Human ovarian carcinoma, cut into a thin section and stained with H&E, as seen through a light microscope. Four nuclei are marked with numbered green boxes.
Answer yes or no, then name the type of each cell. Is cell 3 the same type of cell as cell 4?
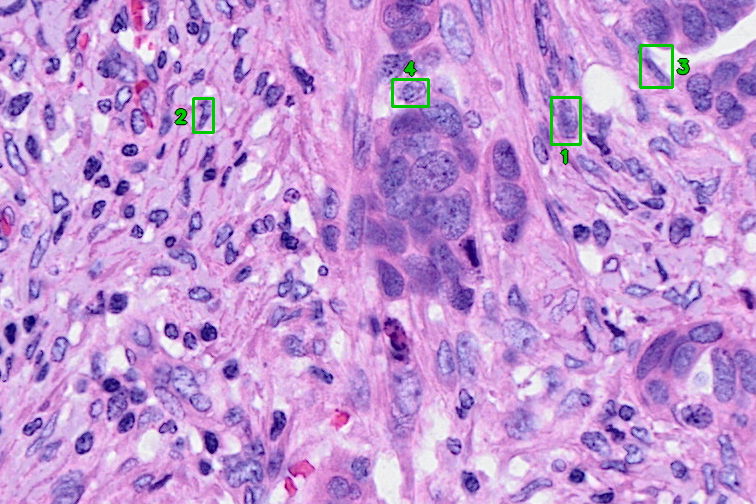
No, cell 3 here is a fibroblast, and cell 4 here is a macrophage or monocyte.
